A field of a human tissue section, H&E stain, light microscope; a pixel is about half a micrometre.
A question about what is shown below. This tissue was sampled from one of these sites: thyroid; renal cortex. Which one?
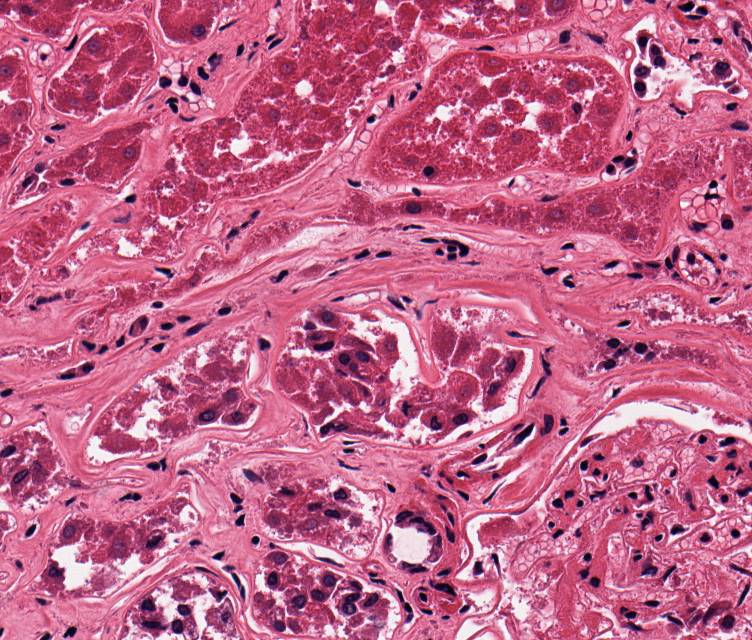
renal cortex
